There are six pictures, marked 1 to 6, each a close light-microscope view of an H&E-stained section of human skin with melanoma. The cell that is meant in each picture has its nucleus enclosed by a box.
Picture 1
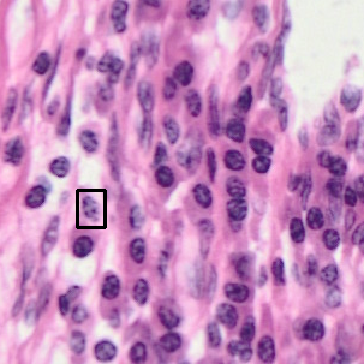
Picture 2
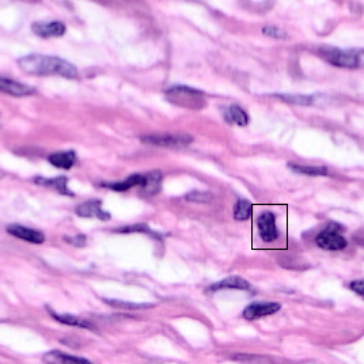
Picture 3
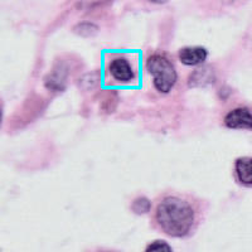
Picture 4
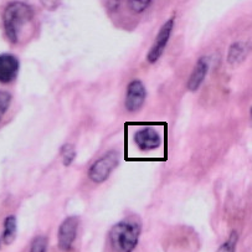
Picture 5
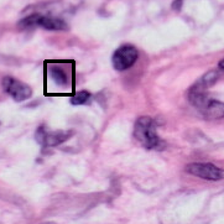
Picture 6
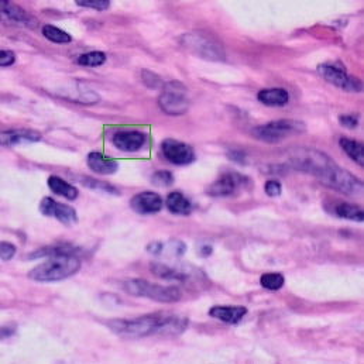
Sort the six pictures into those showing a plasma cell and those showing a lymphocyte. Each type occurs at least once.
1: plasma cell
2: plasma cell
3: lymphocyte
4: lymphocyte
5: plasma cell
6: plasma cell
